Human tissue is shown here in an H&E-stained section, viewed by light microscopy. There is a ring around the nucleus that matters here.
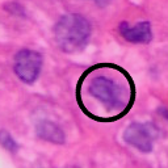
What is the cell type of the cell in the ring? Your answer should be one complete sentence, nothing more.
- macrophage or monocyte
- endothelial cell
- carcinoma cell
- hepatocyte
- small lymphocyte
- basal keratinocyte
On this particular slide, the cell in the ring is a macrophage or monocyte.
